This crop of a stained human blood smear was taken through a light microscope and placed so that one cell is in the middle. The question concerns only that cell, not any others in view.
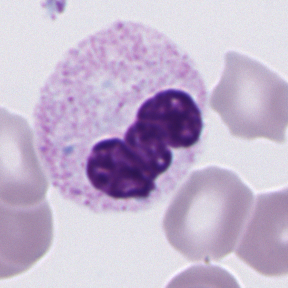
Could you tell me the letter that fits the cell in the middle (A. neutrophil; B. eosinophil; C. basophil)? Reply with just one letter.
A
